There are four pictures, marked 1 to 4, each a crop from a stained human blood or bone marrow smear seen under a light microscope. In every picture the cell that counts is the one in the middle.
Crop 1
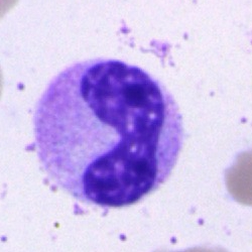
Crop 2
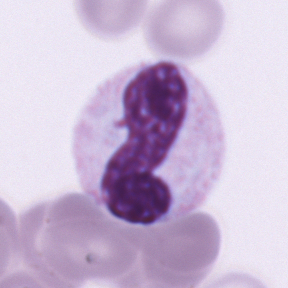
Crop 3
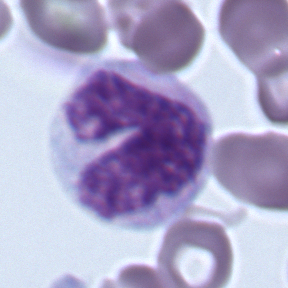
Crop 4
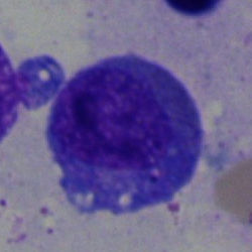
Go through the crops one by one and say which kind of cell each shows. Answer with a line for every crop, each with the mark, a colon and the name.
1: band neutrophil
2: band neutrophil
3: band neutrophil
4: promyelocyte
